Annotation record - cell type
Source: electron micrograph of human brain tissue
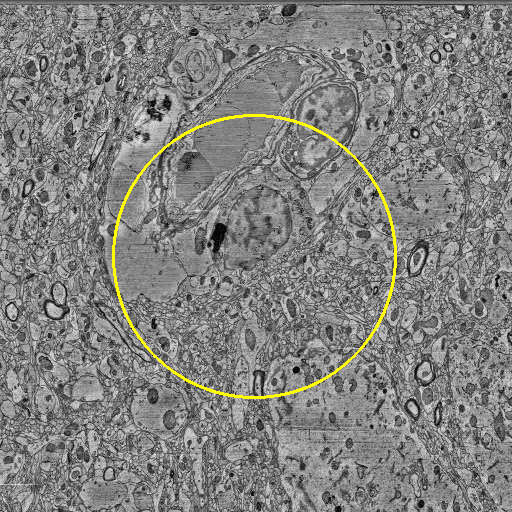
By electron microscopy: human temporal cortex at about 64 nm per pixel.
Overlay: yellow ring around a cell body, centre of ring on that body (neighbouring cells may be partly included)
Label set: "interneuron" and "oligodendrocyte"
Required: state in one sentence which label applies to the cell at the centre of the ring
This cell should be labelled as an oligodendrocyte.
